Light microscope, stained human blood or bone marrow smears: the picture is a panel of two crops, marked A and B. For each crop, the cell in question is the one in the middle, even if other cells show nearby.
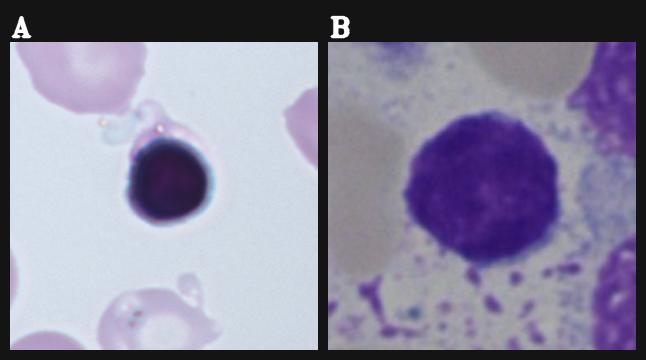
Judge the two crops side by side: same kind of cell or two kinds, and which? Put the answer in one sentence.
No, crop A shows a normoblast and crop B a lymphocyte.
